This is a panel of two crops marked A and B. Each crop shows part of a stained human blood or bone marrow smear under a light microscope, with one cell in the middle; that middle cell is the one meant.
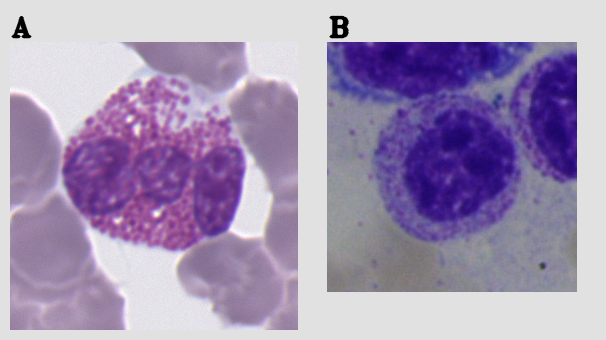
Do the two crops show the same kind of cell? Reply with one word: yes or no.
no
